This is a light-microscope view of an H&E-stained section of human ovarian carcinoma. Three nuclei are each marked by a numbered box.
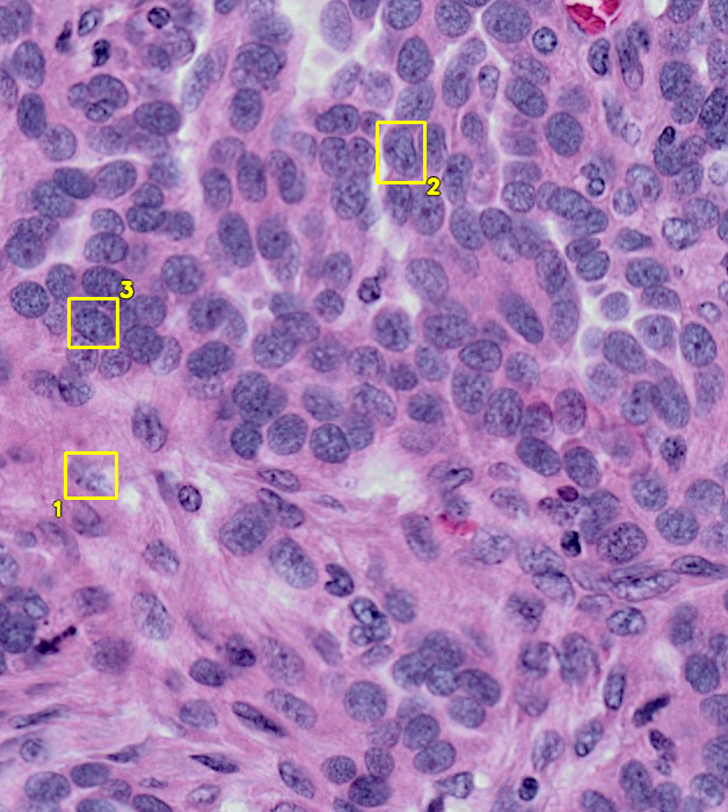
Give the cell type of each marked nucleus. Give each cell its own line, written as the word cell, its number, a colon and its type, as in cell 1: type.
cell 1: fibroblast
cell 2: carcinoma cell
cell 3: carcinoma cell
